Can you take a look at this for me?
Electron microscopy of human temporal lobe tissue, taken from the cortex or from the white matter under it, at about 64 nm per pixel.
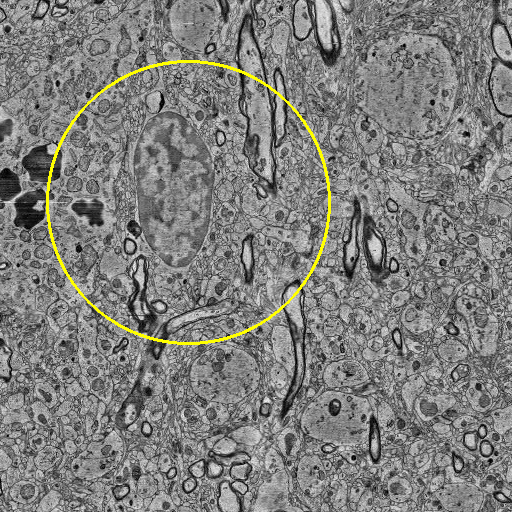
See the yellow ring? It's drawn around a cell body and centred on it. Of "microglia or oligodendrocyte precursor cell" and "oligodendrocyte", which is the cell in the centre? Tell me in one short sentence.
The one in the centre is a microglial cell or oligodendrocyte precursor cell.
